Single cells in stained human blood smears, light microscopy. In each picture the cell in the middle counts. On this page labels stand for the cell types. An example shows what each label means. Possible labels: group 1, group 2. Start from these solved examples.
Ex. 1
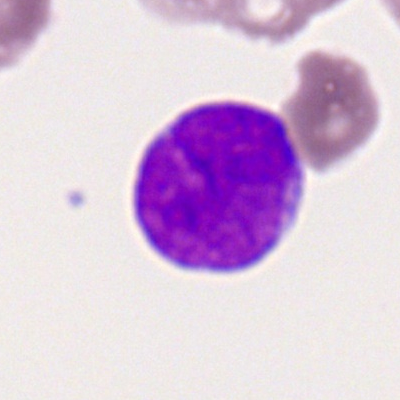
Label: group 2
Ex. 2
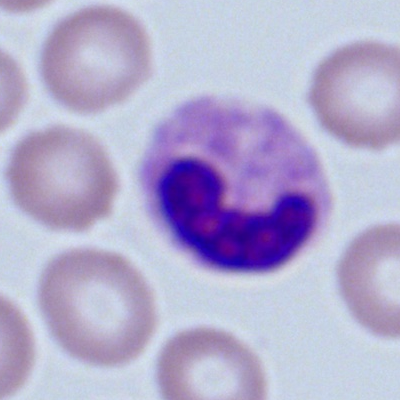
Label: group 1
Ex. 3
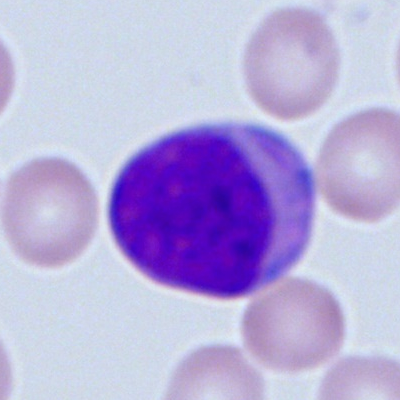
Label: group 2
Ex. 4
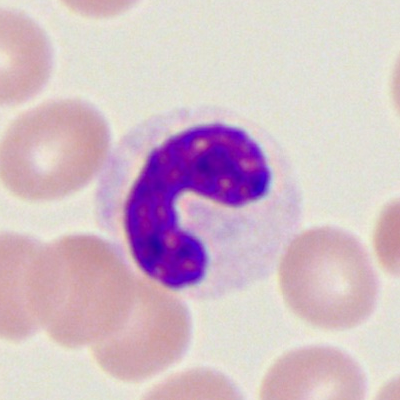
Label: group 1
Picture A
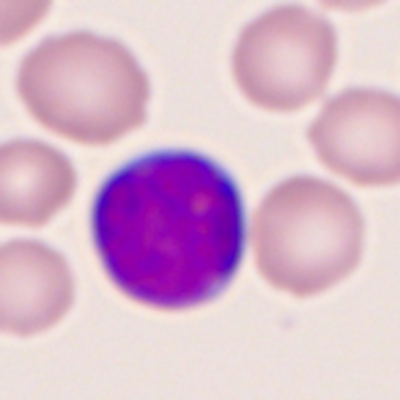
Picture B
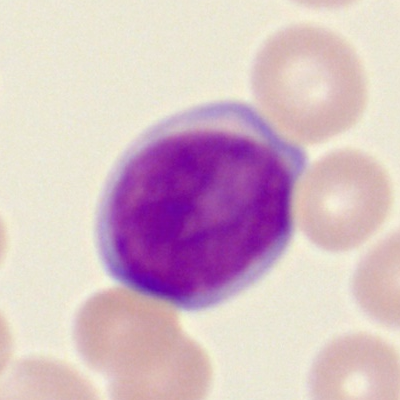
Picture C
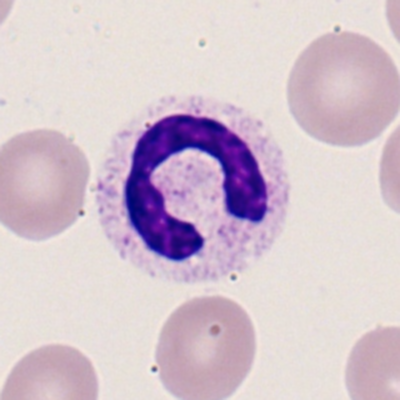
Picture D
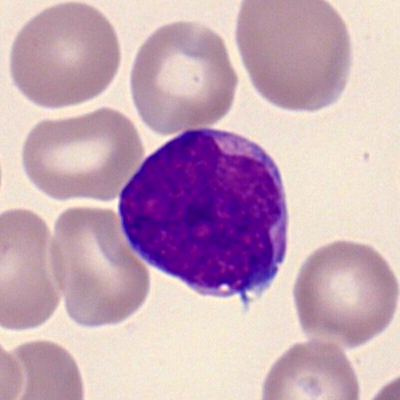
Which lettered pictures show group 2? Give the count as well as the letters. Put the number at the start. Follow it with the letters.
Count: 3 (A, B, D)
